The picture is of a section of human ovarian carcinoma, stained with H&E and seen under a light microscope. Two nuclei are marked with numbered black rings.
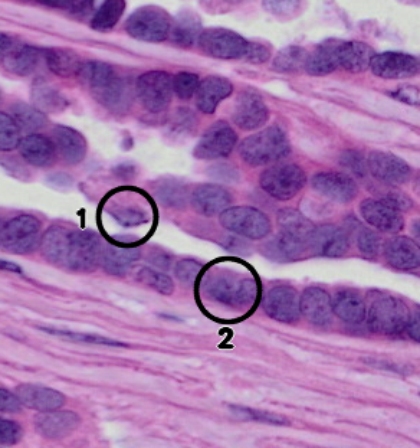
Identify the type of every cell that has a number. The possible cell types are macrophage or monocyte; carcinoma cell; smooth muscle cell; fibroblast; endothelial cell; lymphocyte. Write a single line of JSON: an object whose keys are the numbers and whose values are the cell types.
{"1": "macrophage or monocyte", "2": "carcinoma cell"}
